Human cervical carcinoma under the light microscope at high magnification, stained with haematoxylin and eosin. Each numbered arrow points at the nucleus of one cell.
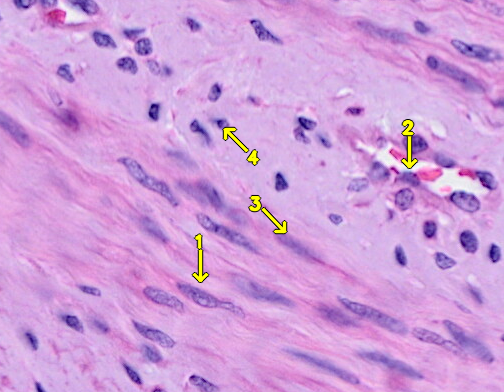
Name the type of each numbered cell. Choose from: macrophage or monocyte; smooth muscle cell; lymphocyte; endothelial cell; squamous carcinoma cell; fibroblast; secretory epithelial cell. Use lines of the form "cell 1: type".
cell 1: smooth muscle cell
cell 2: endothelial cell
cell 3: smooth muscle cell
cell 4: fibroblast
